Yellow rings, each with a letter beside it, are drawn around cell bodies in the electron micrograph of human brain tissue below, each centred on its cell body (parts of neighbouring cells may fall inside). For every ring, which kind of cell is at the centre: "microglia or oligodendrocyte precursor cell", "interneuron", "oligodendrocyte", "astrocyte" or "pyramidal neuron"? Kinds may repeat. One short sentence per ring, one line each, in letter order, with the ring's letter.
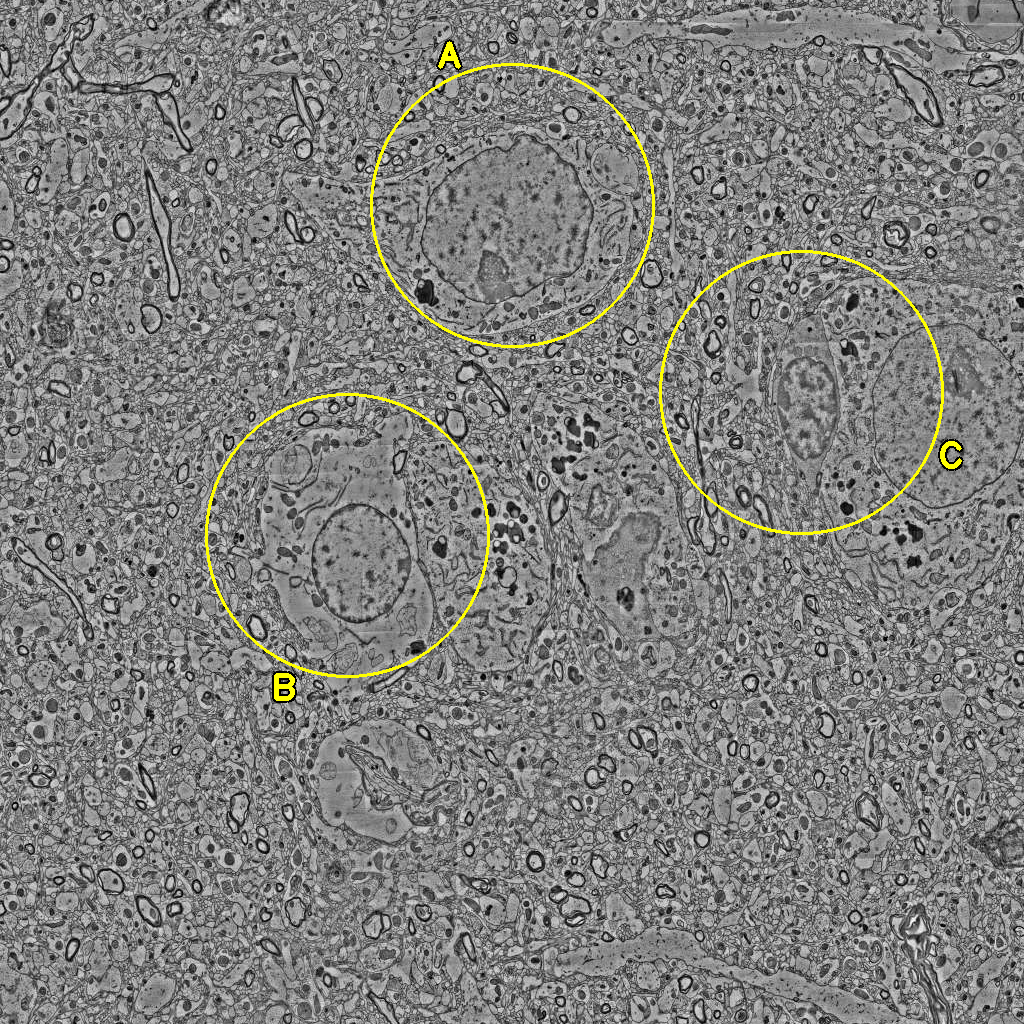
The cell in ring A is an interneuron.
The cell in ring B is an astrocyte.
The cell in ring C is an oligodendrocyte.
